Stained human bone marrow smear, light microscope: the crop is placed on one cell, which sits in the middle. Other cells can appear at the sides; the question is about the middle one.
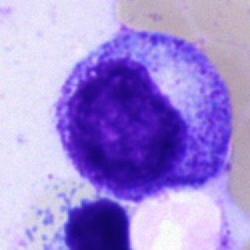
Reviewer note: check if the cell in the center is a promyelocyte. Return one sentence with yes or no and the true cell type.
Yes, the central cell is to be recorded as a promyelocyte.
